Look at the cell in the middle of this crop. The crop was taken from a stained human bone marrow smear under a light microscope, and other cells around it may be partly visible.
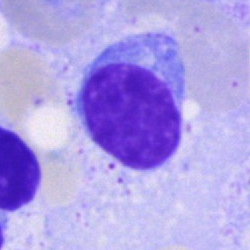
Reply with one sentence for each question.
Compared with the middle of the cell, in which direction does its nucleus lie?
The nucleus sits off-centre, toward the bottom.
